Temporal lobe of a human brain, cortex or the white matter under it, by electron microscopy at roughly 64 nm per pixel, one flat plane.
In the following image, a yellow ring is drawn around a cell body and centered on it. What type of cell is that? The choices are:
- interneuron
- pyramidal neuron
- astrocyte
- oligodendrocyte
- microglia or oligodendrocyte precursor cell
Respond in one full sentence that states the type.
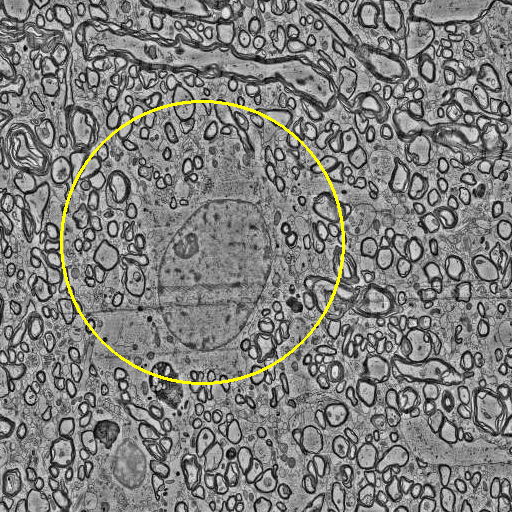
The cell at the center of the yellow ring in the image is an astrocyte.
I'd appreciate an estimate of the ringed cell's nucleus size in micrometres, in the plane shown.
The nucleus has a long axis of about 10 micrometres and a short axis of about 7 micrometres in this plane.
